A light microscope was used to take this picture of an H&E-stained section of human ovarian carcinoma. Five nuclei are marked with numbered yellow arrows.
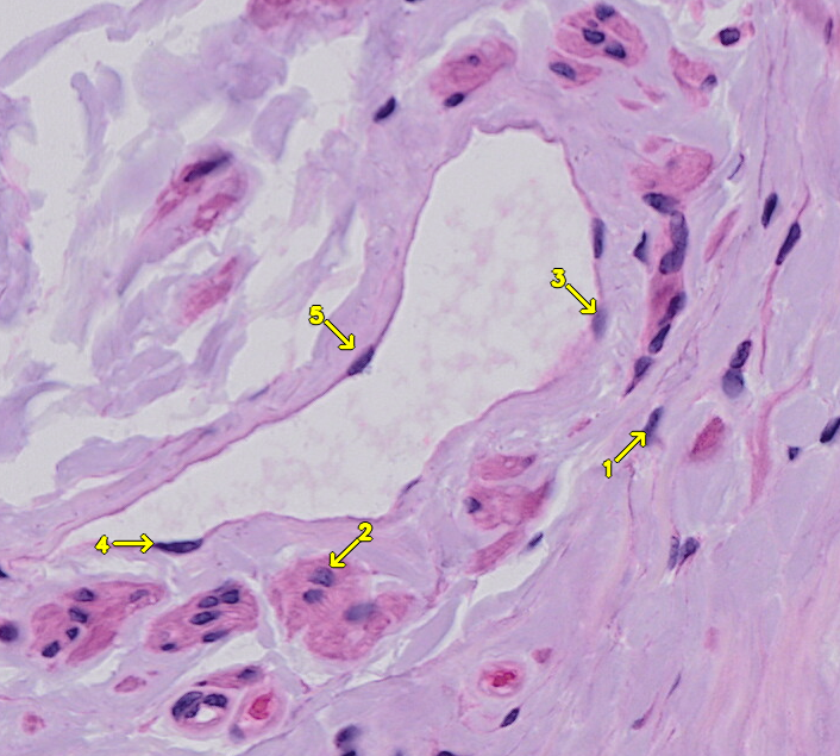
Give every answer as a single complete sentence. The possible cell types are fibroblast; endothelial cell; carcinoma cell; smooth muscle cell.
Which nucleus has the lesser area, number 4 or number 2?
Number 2 is smaller, since number 4 takes up about 1.5 times as much area.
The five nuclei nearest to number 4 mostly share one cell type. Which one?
The majority of the five nuclei closest to number 4 belong to smooth muscle cells.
